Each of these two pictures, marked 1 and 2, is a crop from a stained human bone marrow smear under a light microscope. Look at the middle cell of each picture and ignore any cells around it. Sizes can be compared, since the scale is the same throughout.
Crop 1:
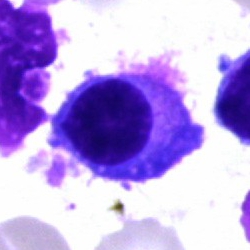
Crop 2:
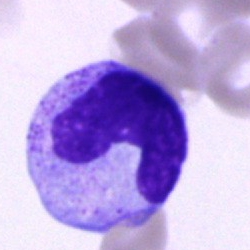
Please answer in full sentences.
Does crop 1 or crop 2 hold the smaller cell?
Crop 1 holds the smaller cell, since the cell in crop 2 covers about 2 times as much area.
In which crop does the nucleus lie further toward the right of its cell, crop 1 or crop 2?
It is the nucleus in crop 2 that lies further toward the right of its cell.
